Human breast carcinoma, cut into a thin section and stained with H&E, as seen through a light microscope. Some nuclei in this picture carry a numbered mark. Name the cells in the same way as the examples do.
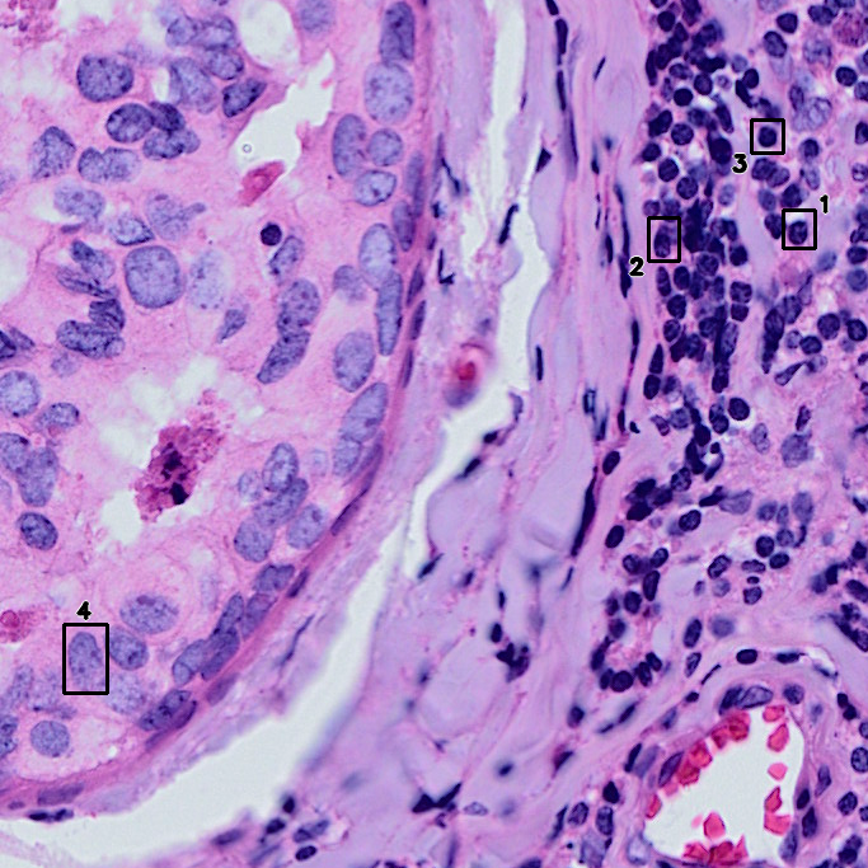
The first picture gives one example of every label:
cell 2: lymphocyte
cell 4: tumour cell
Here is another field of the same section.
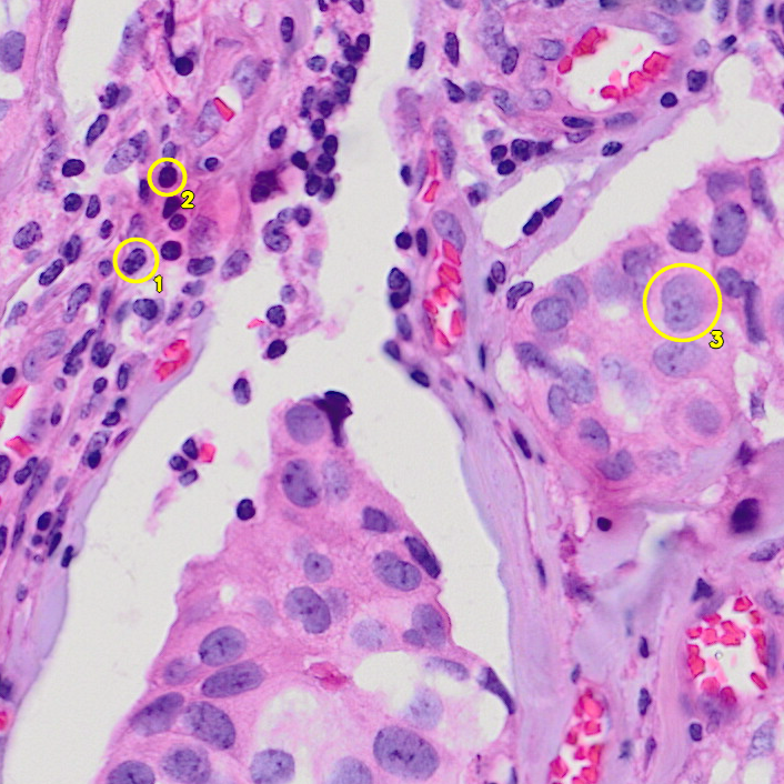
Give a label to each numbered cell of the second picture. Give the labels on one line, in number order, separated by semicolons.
lymphocyte; lymphocyte; tumour cell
